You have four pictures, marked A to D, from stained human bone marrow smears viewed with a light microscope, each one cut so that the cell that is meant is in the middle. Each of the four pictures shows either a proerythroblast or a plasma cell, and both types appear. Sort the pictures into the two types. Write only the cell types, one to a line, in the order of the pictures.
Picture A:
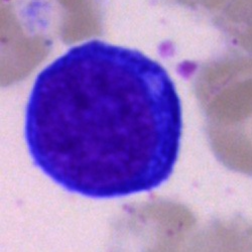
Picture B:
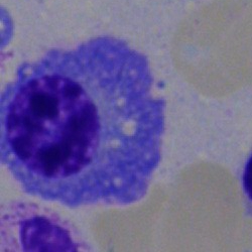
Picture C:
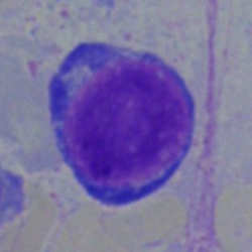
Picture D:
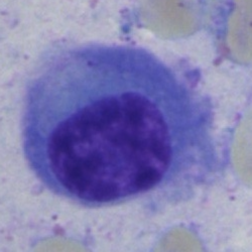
proerythroblast
plasma cell
proerythroblast
plasma cell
